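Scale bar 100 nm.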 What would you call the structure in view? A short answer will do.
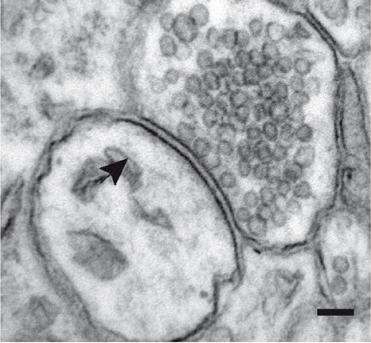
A: Synapses.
